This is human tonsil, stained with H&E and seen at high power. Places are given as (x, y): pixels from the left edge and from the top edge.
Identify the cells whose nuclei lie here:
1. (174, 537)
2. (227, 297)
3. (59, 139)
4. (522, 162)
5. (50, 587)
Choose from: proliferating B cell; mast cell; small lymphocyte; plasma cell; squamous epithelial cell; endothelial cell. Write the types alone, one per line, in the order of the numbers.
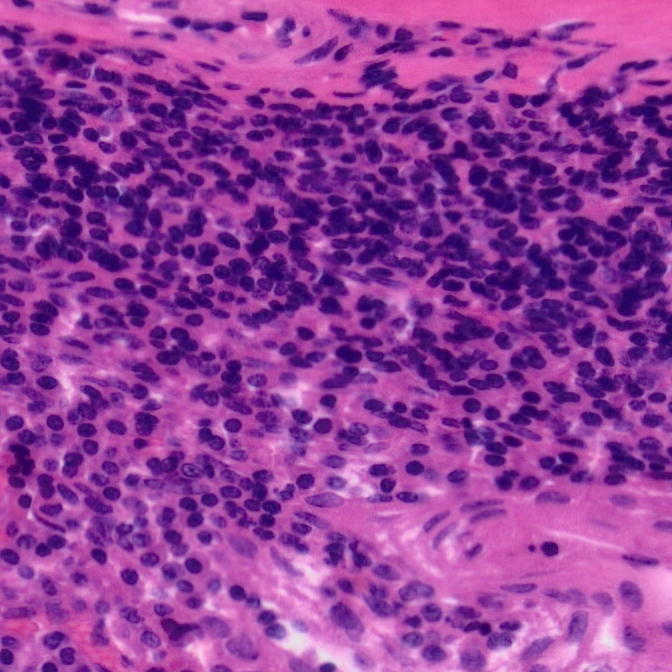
plasma cell
plasma cell
small lymphocyte
small lymphocyte
plasma cell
